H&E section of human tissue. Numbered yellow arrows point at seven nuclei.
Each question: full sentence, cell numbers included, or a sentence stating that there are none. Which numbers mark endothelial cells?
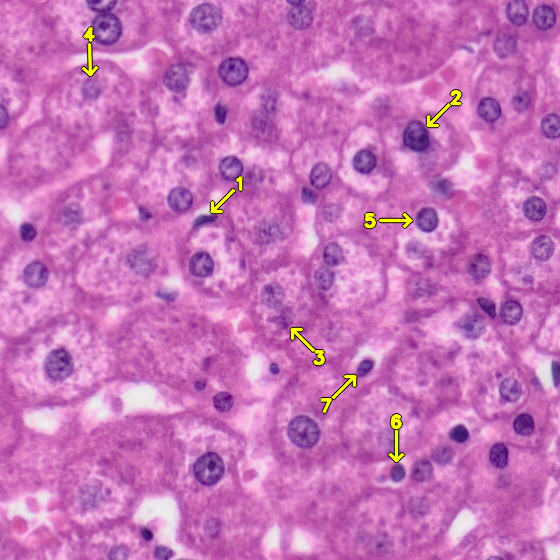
The nucleus labelled 1 alone belongs to an endothelial cell; the other marked nuclei do not.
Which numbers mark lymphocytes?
The numbers 6 and 7 mark cells that are lymphocytes.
